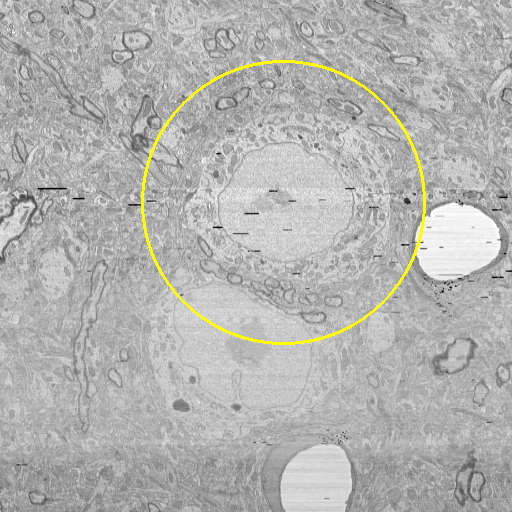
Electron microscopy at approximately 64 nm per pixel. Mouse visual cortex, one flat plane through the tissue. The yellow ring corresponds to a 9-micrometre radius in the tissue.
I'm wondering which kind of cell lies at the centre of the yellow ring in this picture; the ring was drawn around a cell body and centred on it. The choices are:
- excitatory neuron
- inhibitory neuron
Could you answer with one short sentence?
At the centre of the ring lies an inhibitory neuron.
